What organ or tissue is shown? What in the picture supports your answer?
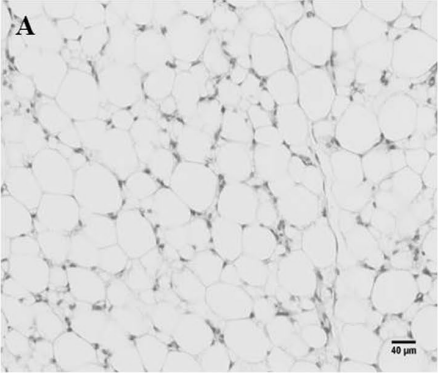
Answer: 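Tightly packed, rounded to polygonal empty-looking vacuoles fill the field. Only thin membranes separate neighbouring vacuoles. Small dark nuclei sit in the narrow spaces between vacuoles.
Adipose tissue.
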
